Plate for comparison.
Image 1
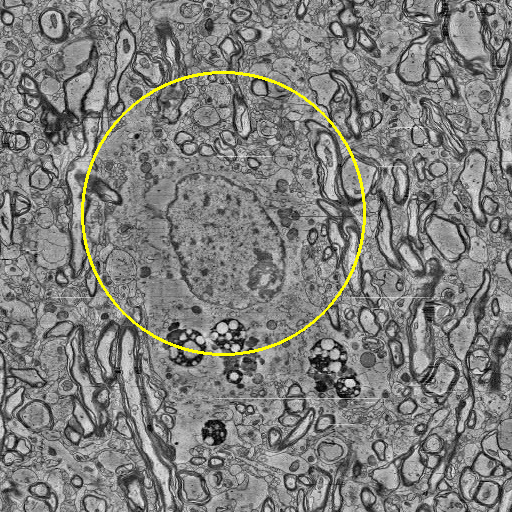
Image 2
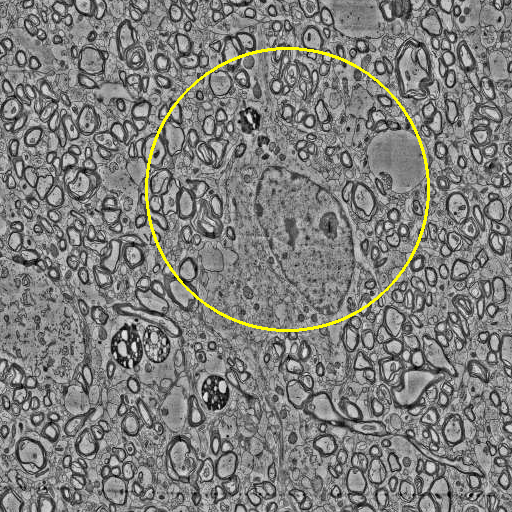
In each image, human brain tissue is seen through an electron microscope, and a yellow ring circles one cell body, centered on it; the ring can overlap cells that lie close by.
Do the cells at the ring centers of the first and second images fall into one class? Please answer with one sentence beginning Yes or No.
Yes, the first and second images show a single class of cell at the ring centers.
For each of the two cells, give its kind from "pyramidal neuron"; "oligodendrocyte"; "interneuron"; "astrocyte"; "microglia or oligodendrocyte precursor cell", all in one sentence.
Each of the two pictures has an astrocyte at the ring centre.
